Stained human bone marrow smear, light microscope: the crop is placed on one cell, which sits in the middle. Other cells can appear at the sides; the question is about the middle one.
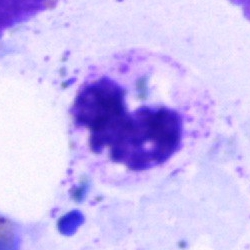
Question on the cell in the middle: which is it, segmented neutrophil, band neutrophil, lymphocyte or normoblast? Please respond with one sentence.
The cell shown in the center of this light-microscope crop is a segmented neutrophil.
